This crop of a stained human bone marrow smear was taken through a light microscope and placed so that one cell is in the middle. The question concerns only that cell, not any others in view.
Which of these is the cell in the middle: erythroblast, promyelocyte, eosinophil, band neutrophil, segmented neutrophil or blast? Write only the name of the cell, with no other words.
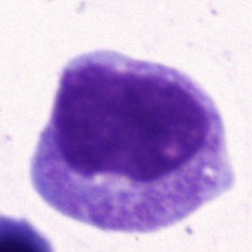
promyelocyte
